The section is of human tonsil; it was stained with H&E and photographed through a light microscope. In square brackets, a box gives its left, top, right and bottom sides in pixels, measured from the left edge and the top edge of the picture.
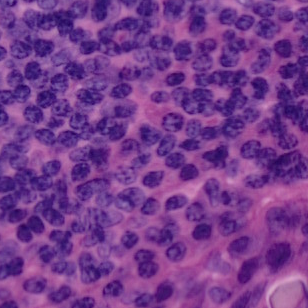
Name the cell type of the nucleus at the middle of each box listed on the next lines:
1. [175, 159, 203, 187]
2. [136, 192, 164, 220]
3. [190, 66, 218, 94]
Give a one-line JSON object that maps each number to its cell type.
{"1": "plasma cell", "2": "plasma cell", "3": "small lymphocyte"}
